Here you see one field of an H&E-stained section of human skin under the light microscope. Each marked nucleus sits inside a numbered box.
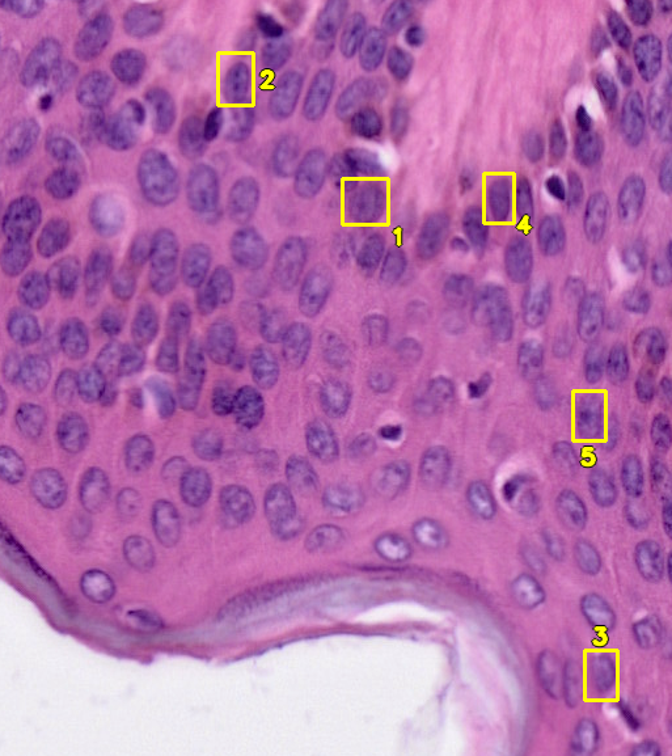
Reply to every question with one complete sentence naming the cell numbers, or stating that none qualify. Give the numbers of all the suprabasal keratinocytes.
The cells that bear the numbers 3 and 5 are suprabasal keratinocytes.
